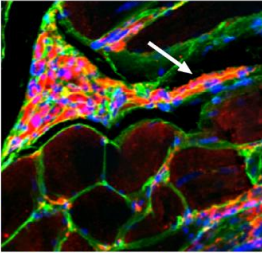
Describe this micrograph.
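This is a cross-section of skeletal muscle with large polygonal myofibers outlined in green in the lower part. Above them a broad band between fibers is packed with blue nuclei and strong red, with small elongated profiles, whereas the large fibers show only weak red.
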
